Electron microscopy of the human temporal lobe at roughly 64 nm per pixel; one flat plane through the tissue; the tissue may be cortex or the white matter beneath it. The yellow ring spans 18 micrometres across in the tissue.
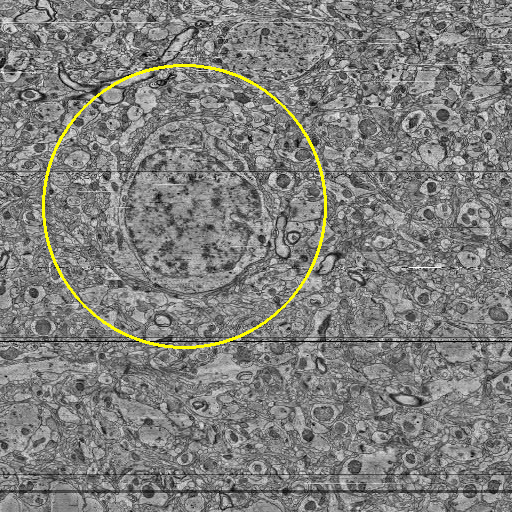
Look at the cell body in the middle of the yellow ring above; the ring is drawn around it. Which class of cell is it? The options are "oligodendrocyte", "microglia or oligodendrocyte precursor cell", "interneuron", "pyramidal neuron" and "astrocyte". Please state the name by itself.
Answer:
interneuron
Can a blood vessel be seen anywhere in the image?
No, none is visible.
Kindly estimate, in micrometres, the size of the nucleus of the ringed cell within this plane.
The nucleus of the ringed cell is approximately 9 micrometres across in this plane.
